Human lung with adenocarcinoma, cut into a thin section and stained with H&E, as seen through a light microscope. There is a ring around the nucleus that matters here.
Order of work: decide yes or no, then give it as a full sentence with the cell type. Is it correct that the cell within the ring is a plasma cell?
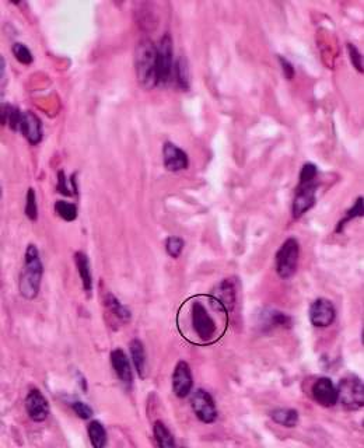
Yes, the classification of the cell within the ring as a plasma cell is accurate.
